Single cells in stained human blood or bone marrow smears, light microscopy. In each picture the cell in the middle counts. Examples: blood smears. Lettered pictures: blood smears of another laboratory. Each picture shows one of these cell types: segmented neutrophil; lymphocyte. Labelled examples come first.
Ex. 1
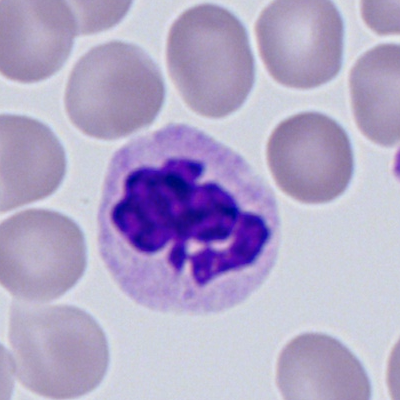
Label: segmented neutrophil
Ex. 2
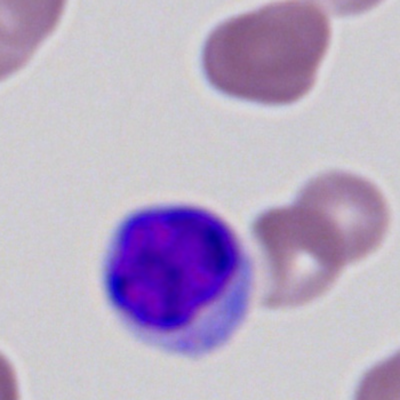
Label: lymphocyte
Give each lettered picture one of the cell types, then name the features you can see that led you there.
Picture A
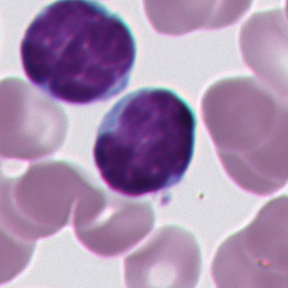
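lymphocyte. The nucleus fills almost the whole cell.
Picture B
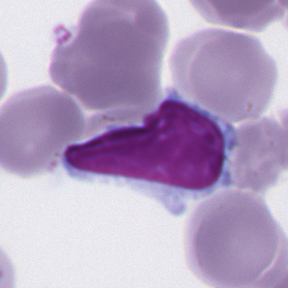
lymphocyte. The cytoplasm is scant, forming only a thin rim around the nucleus.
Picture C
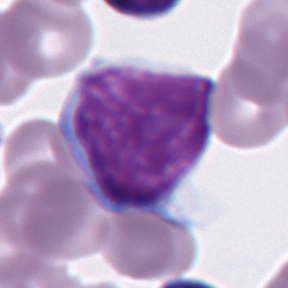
lymphocyte. The cytoplasm forms only a thin rim around the nucleus.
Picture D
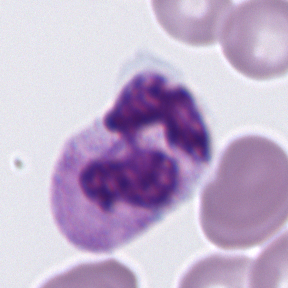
segmented neutrophil. The nucleus forms two large masses joined by a narrower middle part.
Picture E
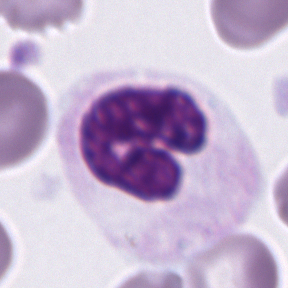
segmented neutrophil. The cytoplasm is abundant and pale pinkish-lilac.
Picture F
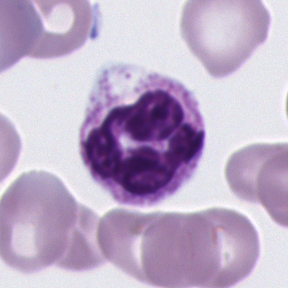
segmented neutrophil. The nucleus is divided into several lobes arranged around a pale central gap.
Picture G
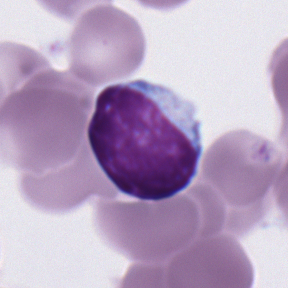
lymphocyte. The cytoplasm forms a narrow crescent on the upper right side of the cell.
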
